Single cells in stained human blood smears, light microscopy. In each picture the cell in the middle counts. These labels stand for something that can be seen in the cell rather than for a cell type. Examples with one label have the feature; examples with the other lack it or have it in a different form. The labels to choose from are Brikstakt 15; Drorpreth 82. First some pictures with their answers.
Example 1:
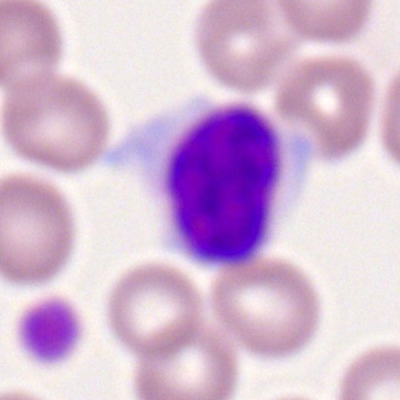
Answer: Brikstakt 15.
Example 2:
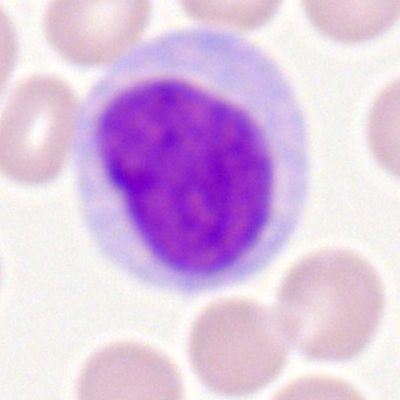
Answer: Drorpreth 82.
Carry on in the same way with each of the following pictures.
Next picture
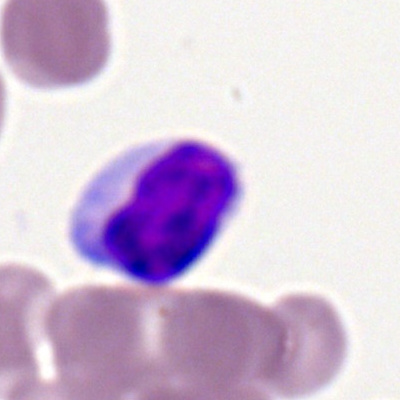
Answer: Drorpreth 82.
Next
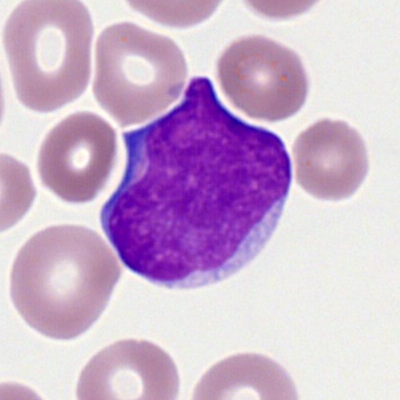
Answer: Brikstakt 15.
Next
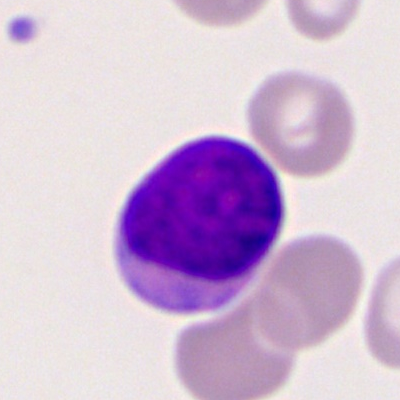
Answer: Drorpreth 82.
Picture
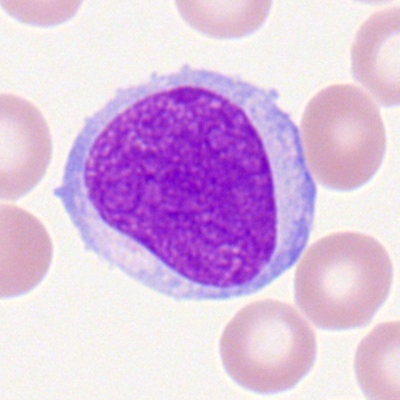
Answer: Brikstakt 15.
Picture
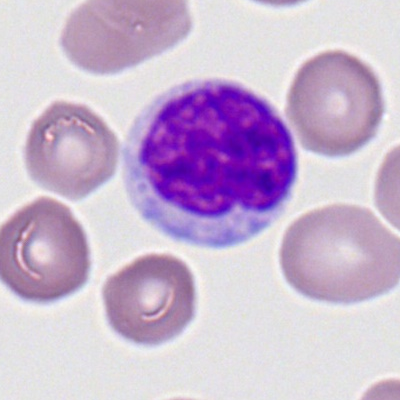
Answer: Drorpreth 82.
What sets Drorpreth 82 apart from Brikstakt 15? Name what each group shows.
Seen in Drorpreth 82: smooth outline; seen in Brikstakt 15: ragged outline or projections.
